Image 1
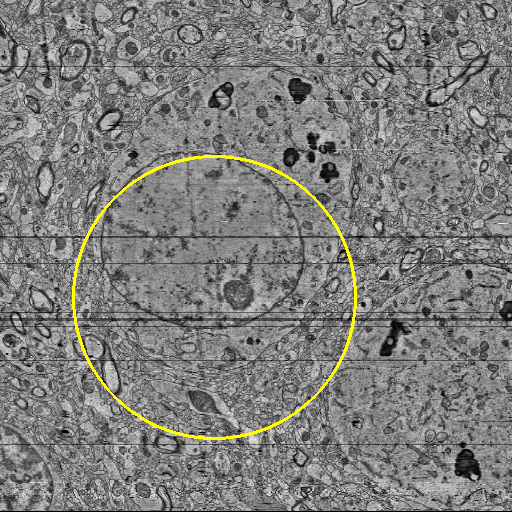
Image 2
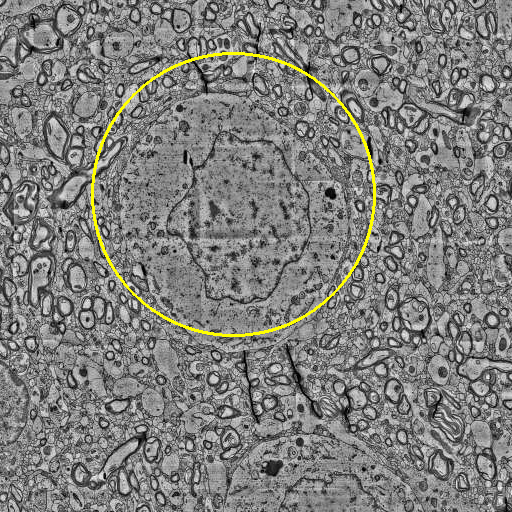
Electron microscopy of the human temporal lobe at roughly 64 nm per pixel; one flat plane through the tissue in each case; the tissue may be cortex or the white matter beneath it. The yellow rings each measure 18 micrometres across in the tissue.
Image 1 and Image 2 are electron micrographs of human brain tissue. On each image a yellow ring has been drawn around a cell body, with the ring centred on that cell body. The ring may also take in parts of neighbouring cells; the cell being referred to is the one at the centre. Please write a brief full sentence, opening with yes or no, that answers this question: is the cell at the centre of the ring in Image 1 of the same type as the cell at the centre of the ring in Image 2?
Yes, both cells are of the same type.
